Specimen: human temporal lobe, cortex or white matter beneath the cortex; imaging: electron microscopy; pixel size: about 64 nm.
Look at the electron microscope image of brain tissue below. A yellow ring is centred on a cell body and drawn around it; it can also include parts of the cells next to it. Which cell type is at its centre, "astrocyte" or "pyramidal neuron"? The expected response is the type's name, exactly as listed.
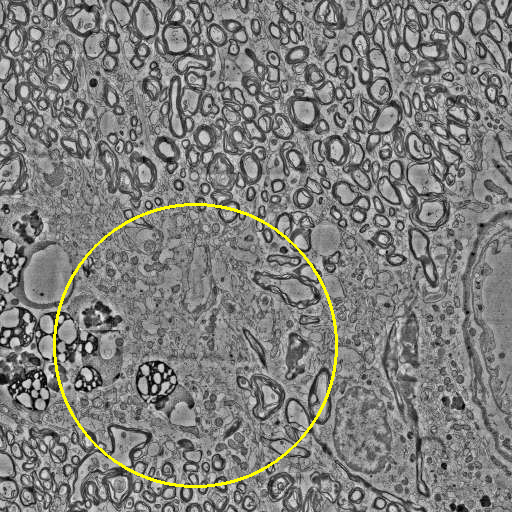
astrocyte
